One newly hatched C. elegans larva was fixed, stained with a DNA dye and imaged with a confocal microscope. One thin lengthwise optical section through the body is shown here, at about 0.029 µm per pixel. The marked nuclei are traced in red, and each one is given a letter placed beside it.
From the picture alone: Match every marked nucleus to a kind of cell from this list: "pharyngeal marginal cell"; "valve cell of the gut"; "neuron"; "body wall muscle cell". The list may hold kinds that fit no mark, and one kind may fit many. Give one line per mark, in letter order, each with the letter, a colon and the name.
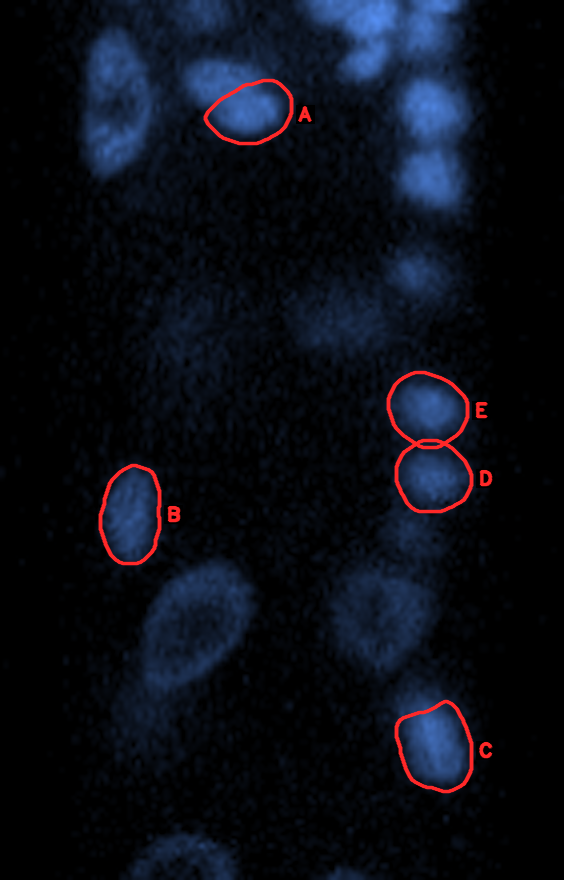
A: valve cell of the gut
B: body wall muscle cell
C: neuron
D: neuron
E: neuron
